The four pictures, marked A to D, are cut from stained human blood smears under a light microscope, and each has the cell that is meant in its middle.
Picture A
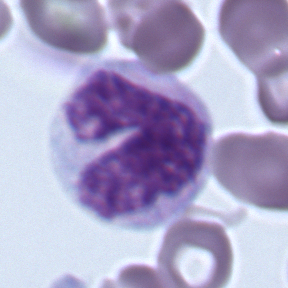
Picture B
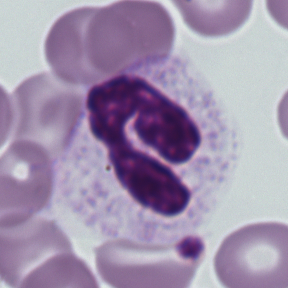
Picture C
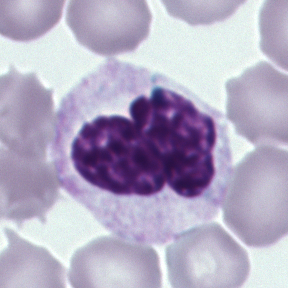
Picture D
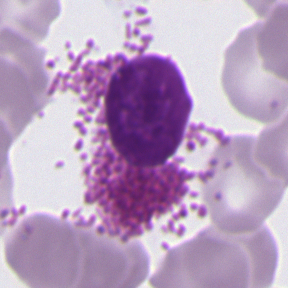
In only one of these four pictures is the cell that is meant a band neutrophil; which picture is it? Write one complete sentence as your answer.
The cell in picture A is the band neutrophil.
